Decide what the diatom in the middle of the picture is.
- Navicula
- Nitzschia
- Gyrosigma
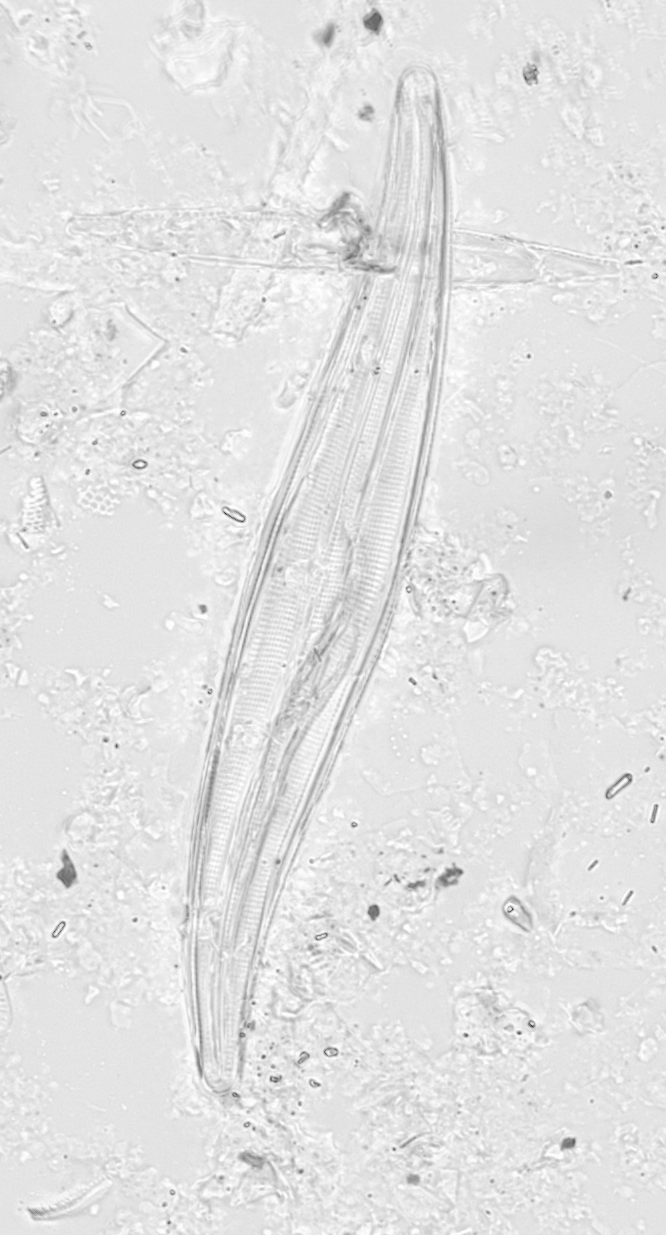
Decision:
Gyrosigma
